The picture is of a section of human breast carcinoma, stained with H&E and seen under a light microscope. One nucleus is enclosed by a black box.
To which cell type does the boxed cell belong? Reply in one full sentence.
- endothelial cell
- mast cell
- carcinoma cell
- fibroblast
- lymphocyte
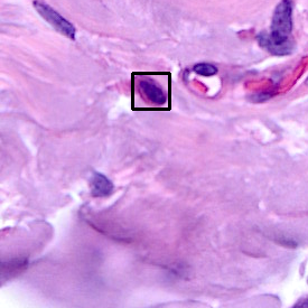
For cell typing purposes, the boxed cell is a mast cell.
